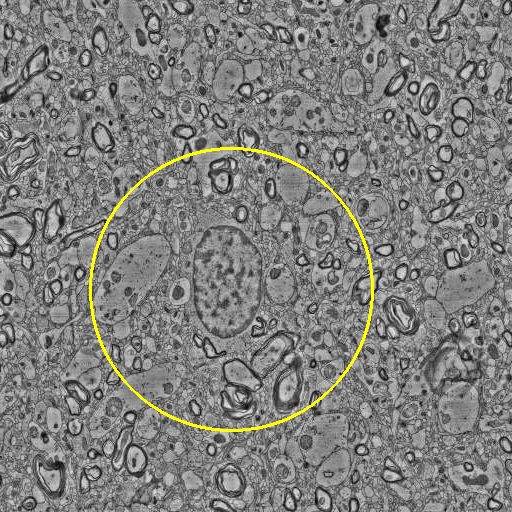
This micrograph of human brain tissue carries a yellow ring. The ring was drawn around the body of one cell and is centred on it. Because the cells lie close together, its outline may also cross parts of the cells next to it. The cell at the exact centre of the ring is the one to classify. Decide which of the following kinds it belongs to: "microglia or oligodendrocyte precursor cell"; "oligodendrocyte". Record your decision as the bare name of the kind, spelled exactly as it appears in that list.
oligodendrocyte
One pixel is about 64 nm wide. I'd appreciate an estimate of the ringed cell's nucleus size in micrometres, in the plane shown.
The nucleus of the ringed cell is clearly longer than it is wide in this plane, about 7 by 5 micrometres.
